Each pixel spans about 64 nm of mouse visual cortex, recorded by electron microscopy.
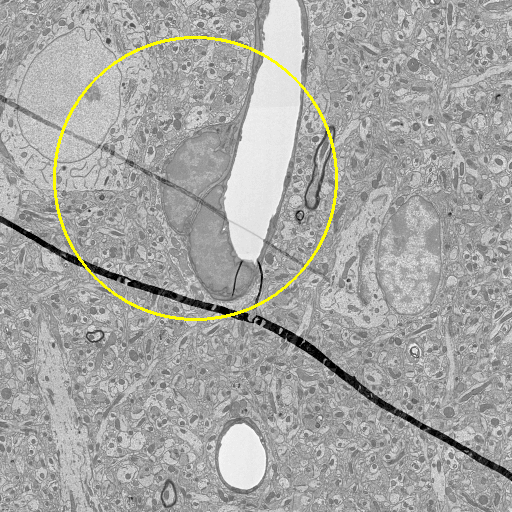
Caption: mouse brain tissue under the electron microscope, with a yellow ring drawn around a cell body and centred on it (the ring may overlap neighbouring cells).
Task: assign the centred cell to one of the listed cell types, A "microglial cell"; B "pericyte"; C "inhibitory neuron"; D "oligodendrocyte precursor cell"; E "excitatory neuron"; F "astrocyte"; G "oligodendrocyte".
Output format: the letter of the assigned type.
A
